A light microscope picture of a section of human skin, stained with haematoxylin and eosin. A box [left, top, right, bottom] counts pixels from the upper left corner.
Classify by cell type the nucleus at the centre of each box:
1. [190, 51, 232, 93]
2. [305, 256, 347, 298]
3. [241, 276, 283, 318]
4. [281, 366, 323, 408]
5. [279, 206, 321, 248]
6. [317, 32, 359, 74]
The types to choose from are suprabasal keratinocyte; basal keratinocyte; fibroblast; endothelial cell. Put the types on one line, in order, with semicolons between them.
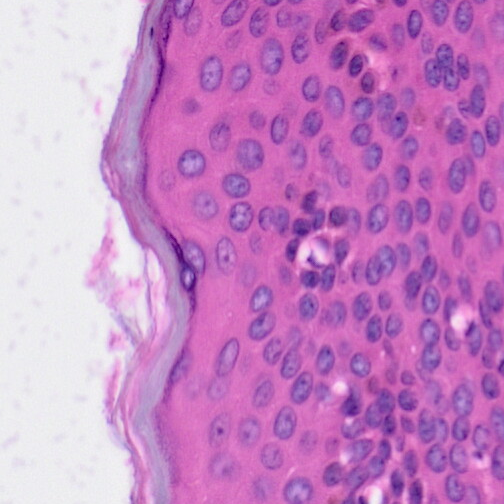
suprabasal keratinocyte; basal keratinocyte; suprabasal keratinocyte; suprabasal keratinocyte; basal keratinocyte; basal keratinocyte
